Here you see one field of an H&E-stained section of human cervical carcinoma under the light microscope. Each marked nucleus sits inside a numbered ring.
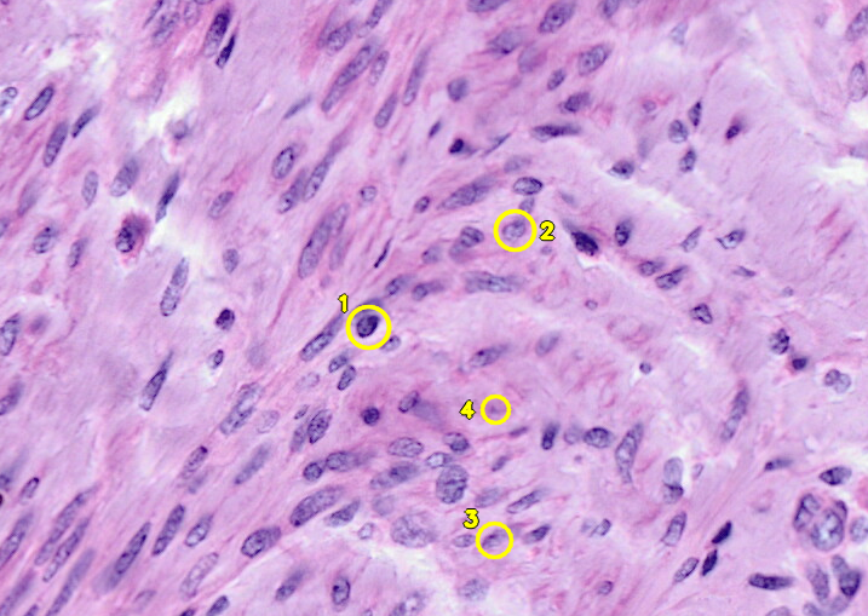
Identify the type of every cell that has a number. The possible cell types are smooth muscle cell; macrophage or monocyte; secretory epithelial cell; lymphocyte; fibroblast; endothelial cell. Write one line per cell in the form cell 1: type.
cell 1: lymphocyte
cell 2: smooth muscle cell
cell 3: smooth muscle cell
cell 4: smooth muscle cell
